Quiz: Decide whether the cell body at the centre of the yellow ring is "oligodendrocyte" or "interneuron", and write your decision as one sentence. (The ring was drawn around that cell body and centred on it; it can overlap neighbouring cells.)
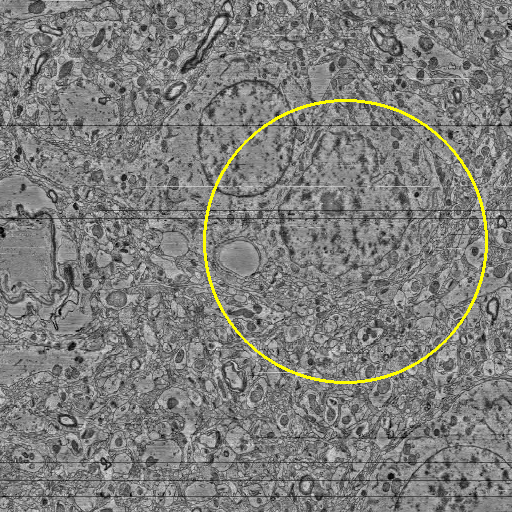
The cell the ring is centred on is an interneuron.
